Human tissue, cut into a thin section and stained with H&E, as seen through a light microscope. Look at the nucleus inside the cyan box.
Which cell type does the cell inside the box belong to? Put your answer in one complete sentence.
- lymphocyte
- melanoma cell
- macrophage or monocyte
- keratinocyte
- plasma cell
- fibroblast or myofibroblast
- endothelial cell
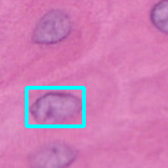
Cell type answer for this item: the cell inside the box is a keratinocyte.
